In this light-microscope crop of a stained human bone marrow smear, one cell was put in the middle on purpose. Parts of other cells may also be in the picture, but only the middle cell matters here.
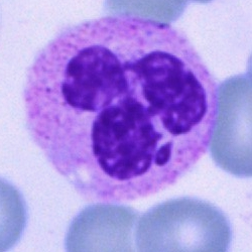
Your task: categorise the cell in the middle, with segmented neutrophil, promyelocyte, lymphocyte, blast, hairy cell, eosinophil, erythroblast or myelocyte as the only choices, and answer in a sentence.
The cell of interest, located centrally, is a segmented neutrophil.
